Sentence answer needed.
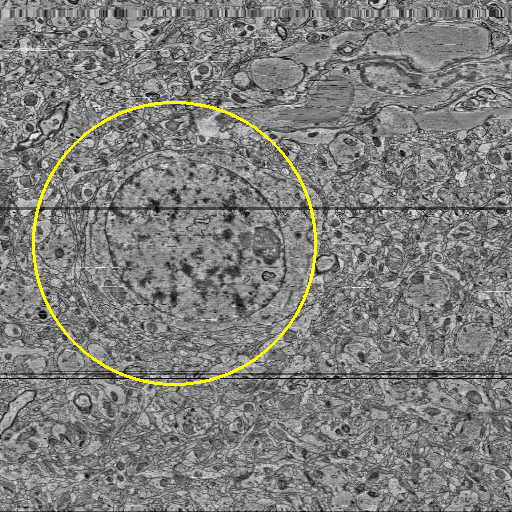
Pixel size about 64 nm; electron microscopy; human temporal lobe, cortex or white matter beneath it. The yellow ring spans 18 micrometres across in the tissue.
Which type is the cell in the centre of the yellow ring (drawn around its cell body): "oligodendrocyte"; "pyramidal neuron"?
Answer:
In the centre of the yellow ring is a pyramidal neuron.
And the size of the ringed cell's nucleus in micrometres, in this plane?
About 12 by 10 micrometers, in this plane.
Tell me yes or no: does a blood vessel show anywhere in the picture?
Yes, a vessel appears in the picture.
